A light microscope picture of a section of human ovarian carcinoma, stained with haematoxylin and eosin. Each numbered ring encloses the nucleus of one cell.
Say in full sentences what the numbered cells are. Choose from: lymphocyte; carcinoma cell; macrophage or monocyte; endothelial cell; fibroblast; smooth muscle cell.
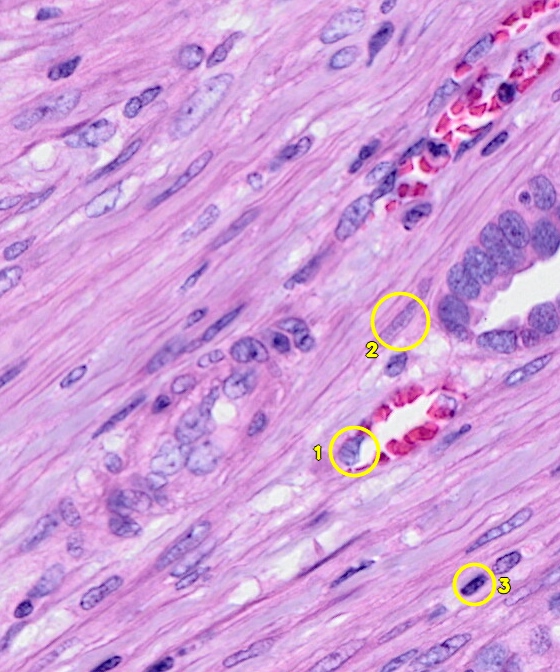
Cell 1 is an endothelial cell, cell 2 is a fibroblast and cell 3 is a lymphocyte.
